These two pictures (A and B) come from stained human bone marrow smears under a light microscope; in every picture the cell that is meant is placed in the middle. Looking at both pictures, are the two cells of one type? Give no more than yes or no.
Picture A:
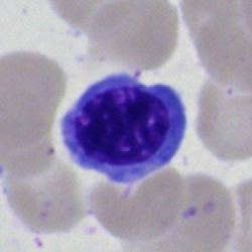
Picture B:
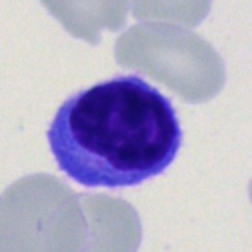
no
